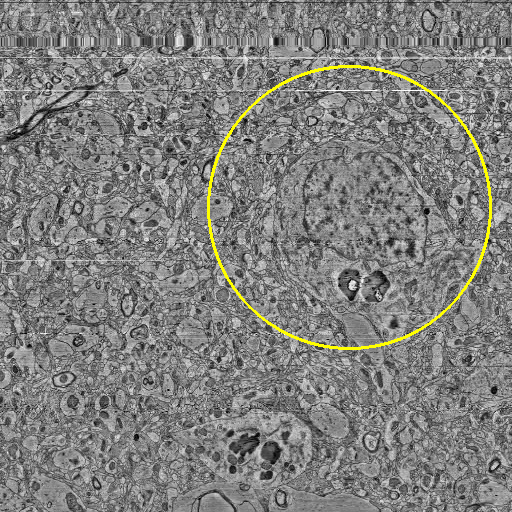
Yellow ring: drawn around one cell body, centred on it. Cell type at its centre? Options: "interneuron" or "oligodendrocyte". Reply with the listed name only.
interneuron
